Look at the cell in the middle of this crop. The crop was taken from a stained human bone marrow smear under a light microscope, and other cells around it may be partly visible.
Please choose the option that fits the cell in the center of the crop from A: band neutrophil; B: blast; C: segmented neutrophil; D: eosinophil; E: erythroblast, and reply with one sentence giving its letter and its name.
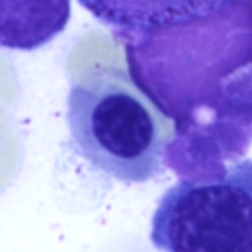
The cell in the middle is an erythroblast, and so option E is correct.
